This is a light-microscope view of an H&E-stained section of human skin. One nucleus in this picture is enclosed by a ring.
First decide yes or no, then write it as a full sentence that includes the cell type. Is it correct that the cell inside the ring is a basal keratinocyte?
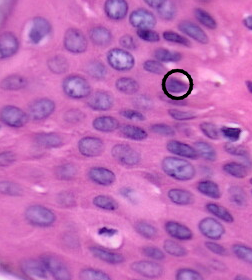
Yes, the cell inside the ring is, by type, a basal keratinocyte.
